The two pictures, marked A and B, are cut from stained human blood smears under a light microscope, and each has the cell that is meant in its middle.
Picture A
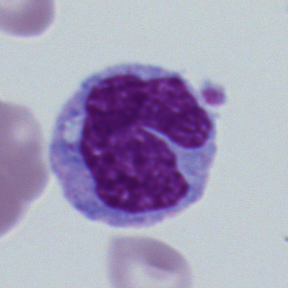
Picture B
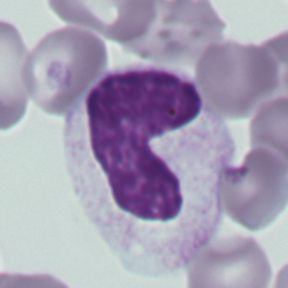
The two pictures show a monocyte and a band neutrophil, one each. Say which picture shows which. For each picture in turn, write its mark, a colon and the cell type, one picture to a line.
A: monocyte
B: band neutrophil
